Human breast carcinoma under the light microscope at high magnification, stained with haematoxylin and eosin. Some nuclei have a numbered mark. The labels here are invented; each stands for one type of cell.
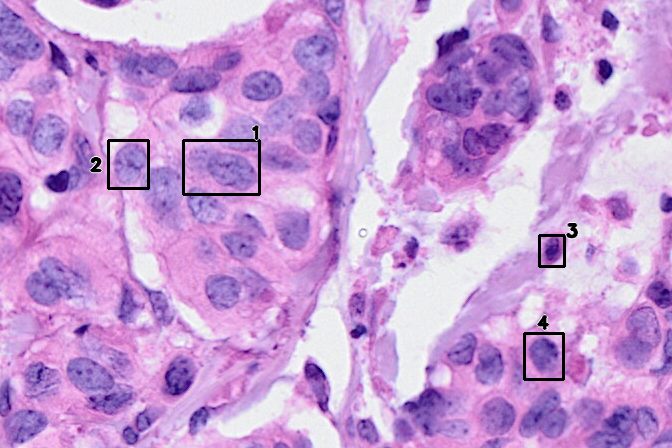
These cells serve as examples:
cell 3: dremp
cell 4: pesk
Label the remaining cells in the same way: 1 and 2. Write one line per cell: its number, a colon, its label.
1: pesk
2: pesk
